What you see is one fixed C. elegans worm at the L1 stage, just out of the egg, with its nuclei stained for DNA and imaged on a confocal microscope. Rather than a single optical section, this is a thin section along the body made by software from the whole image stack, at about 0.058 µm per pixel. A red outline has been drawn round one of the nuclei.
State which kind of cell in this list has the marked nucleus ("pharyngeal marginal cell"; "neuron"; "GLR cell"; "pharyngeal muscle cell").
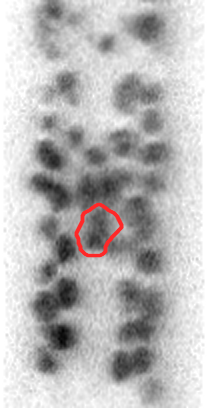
pharyngeal marginal cell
